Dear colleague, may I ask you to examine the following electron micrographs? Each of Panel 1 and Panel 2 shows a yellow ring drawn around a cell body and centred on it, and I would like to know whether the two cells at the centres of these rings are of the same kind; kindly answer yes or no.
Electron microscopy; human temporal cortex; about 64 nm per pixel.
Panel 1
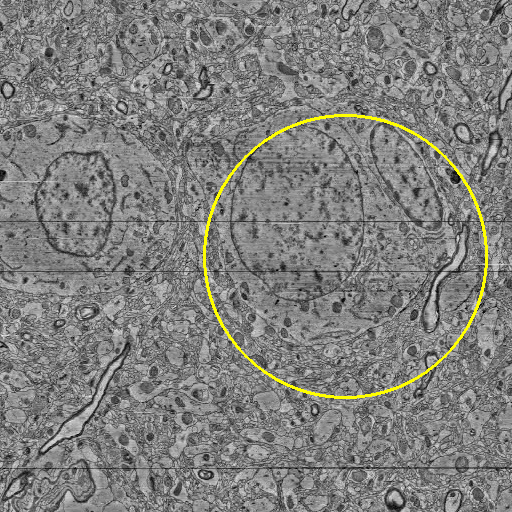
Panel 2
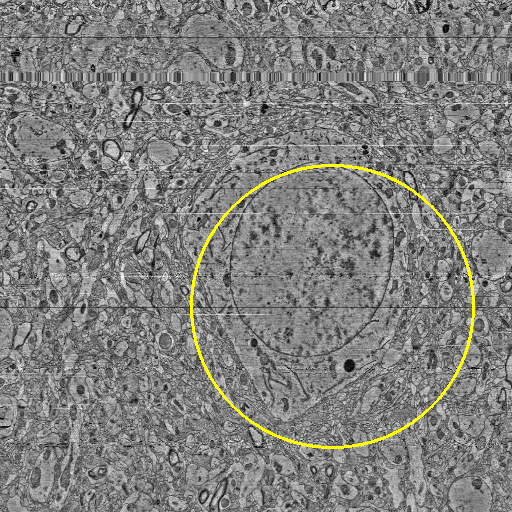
yes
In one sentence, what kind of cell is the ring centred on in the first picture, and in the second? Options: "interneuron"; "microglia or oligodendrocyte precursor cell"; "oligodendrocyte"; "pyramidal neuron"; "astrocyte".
Each of the two rings is centred on a pyramidal neuron.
